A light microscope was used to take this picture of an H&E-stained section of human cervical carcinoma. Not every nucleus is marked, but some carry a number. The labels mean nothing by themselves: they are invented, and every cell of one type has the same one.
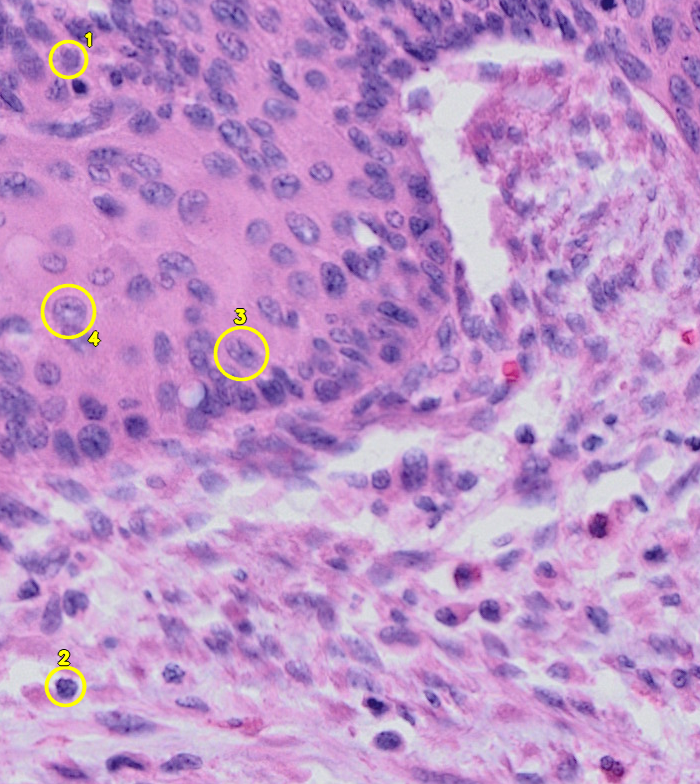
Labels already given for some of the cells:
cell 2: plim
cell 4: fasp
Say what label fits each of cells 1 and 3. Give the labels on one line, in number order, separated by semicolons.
fasp; fasp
